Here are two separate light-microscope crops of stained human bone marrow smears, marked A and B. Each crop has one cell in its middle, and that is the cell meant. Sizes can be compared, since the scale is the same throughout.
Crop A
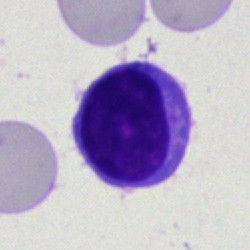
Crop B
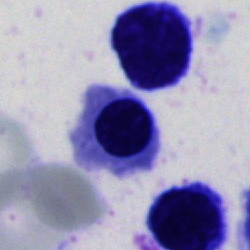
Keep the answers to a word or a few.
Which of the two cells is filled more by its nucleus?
A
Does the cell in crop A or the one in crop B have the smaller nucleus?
B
